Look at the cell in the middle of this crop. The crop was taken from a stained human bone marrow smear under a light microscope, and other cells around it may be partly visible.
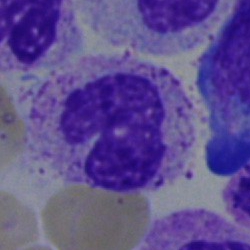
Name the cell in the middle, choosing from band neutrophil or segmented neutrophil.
band neutrophil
